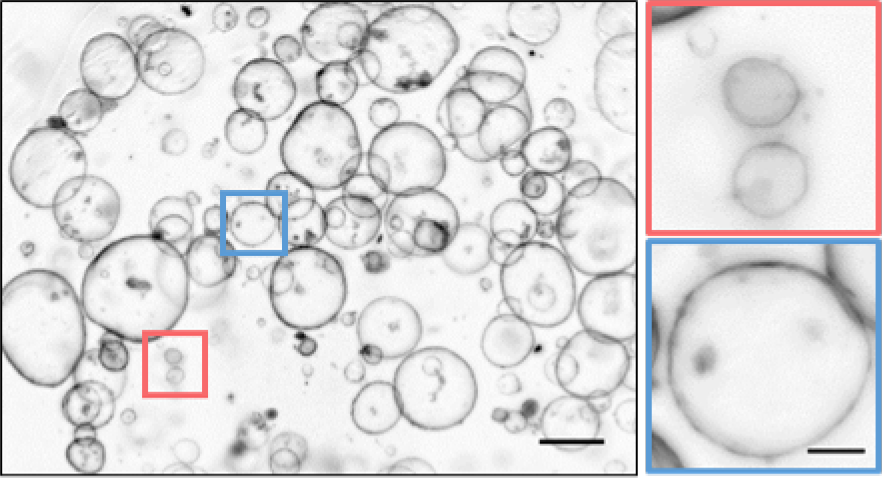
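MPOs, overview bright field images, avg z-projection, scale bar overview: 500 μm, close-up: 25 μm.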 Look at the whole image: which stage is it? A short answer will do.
Monocystic phenotype.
